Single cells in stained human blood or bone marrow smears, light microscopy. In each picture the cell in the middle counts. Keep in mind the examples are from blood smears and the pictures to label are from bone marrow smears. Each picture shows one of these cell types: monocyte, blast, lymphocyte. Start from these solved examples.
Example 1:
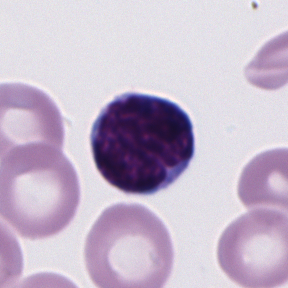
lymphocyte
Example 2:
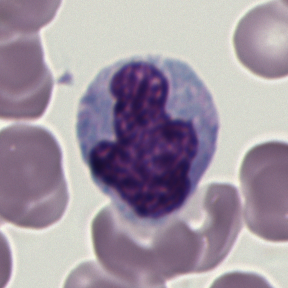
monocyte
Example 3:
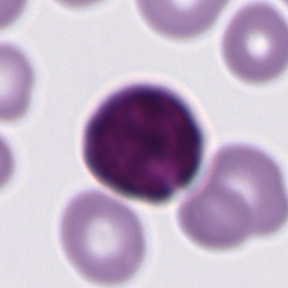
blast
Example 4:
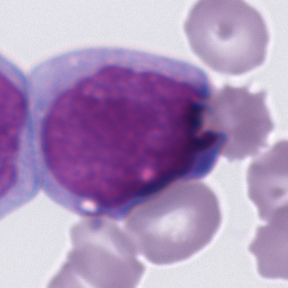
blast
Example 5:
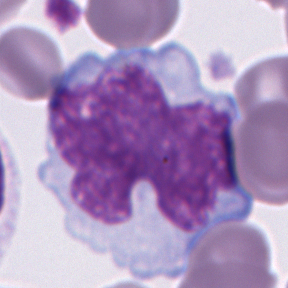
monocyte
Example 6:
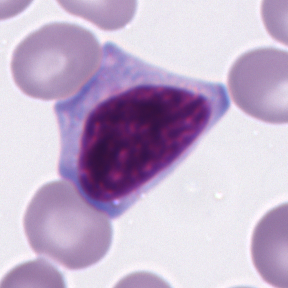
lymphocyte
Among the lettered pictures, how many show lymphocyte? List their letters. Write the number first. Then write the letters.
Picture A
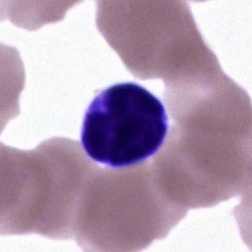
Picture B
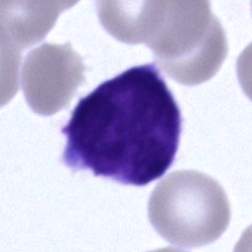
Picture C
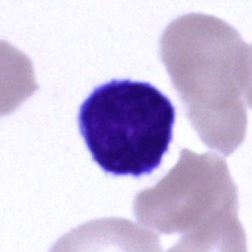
3: A, B, C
